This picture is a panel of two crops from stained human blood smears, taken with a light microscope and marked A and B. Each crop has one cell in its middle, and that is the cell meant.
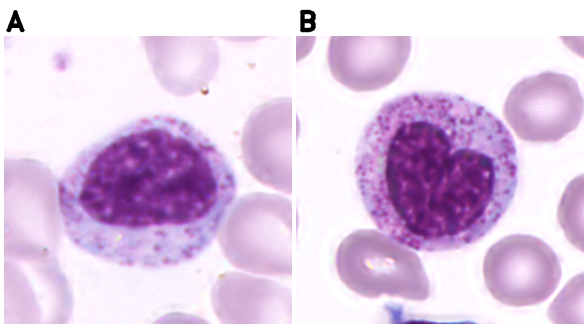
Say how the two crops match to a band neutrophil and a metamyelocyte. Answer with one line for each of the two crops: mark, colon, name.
A: metamyelocyte
B: band neutrophil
